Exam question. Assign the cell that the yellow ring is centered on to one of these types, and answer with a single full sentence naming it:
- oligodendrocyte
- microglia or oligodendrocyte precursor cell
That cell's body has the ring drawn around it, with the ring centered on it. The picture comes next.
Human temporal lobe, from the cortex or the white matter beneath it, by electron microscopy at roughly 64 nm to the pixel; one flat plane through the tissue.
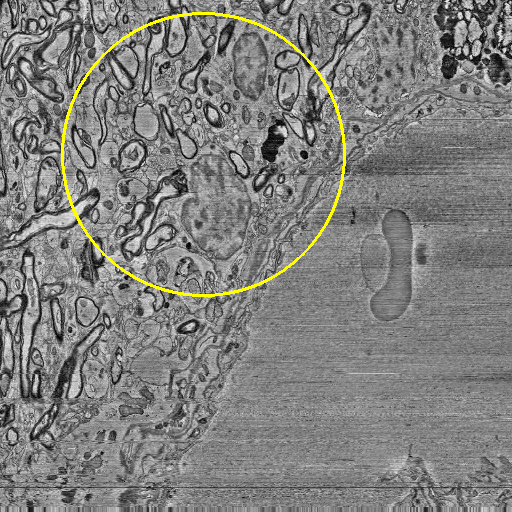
In the micrograph, the cell the yellow ring is centered on is an oligodendrocyte.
